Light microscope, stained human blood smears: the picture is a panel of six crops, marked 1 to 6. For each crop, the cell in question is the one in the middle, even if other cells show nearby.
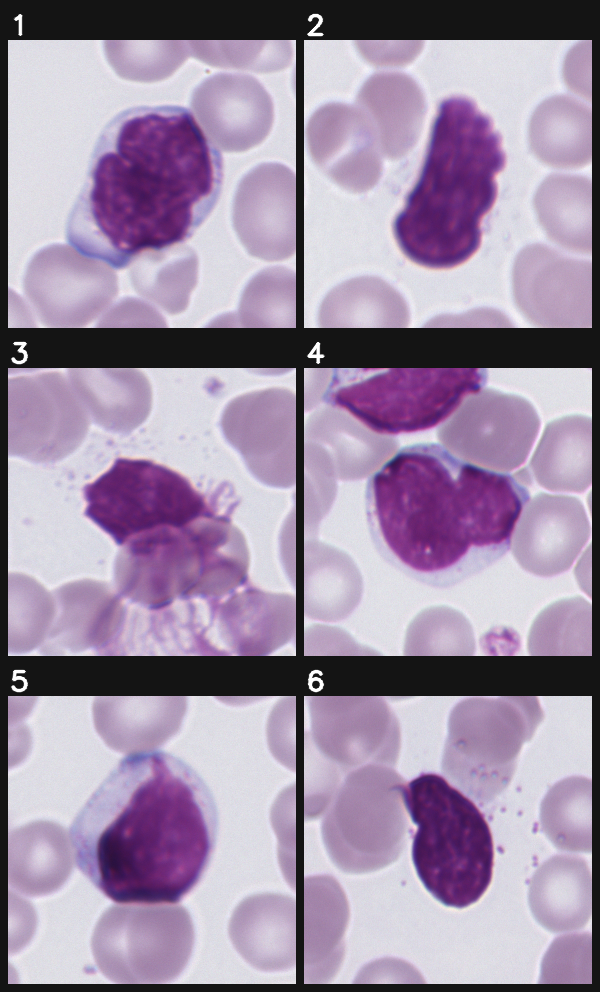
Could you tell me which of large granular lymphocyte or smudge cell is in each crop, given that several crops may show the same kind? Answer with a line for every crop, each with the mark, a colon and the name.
1: large granular lymphocyte
2: smudge cell
3: smudge cell
4: large granular lymphocyte
5: large granular lymphocyte
6: smudge cell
